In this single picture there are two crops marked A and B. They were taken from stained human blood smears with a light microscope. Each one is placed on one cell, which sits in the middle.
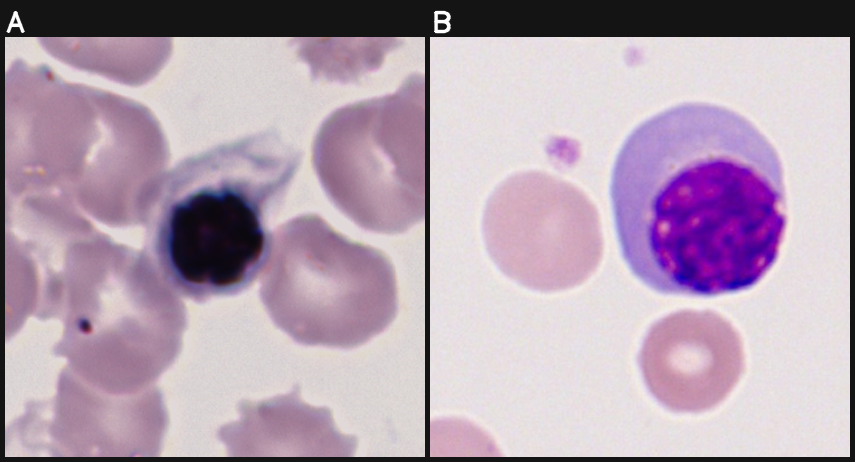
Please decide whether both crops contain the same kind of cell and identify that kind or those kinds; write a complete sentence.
Yes, with regard to both crops, the central cells are normoblasts.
